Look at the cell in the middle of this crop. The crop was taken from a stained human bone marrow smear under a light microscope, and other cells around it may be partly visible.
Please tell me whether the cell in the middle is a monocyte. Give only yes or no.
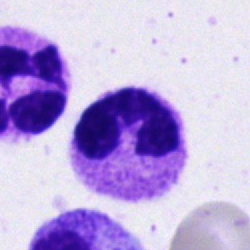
no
